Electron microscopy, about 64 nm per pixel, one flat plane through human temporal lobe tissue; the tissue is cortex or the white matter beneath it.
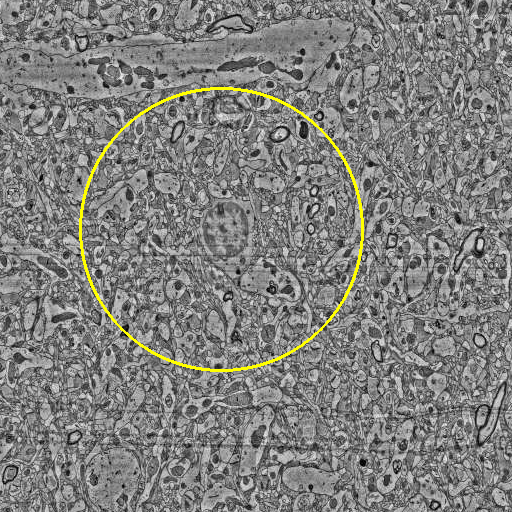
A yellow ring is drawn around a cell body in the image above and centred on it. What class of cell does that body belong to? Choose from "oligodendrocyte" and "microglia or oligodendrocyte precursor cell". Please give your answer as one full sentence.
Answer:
The yellow ring above is centred on the cell body of an oligodendrocyte.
